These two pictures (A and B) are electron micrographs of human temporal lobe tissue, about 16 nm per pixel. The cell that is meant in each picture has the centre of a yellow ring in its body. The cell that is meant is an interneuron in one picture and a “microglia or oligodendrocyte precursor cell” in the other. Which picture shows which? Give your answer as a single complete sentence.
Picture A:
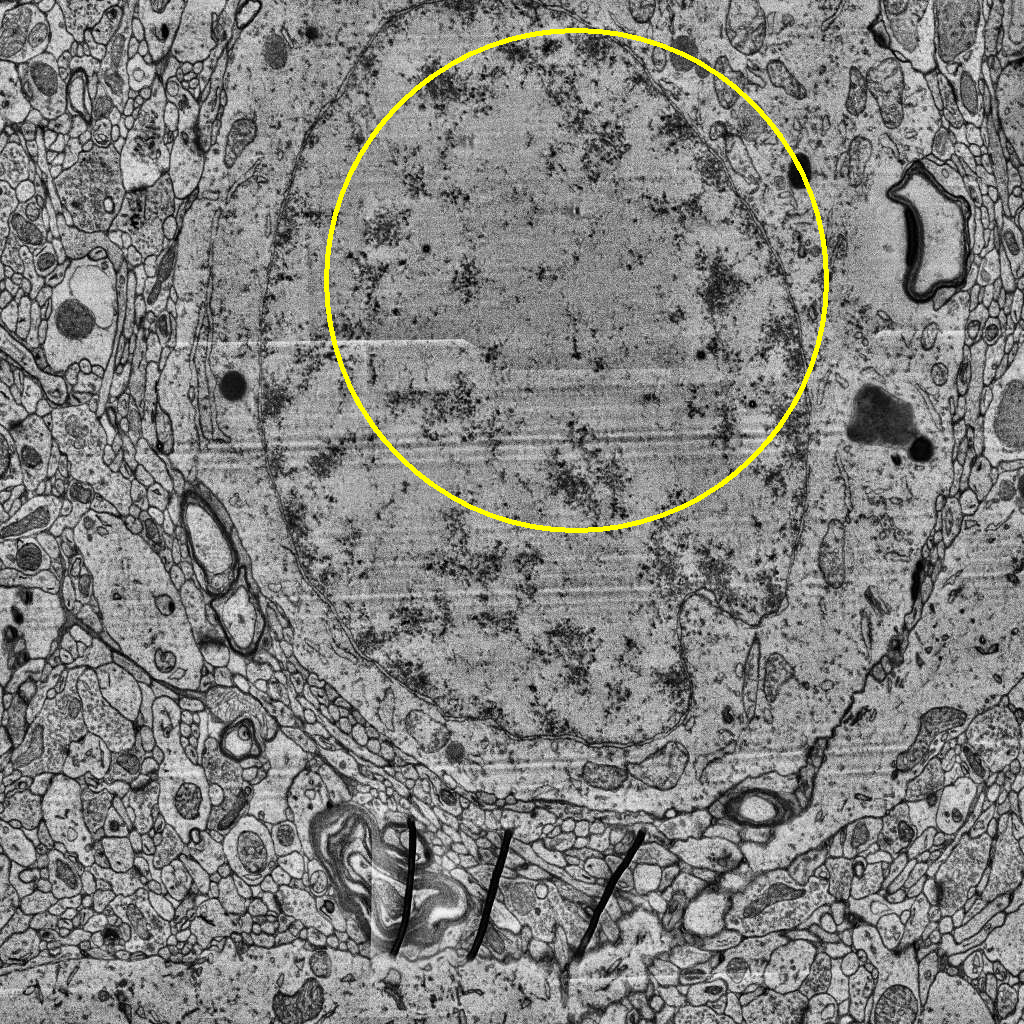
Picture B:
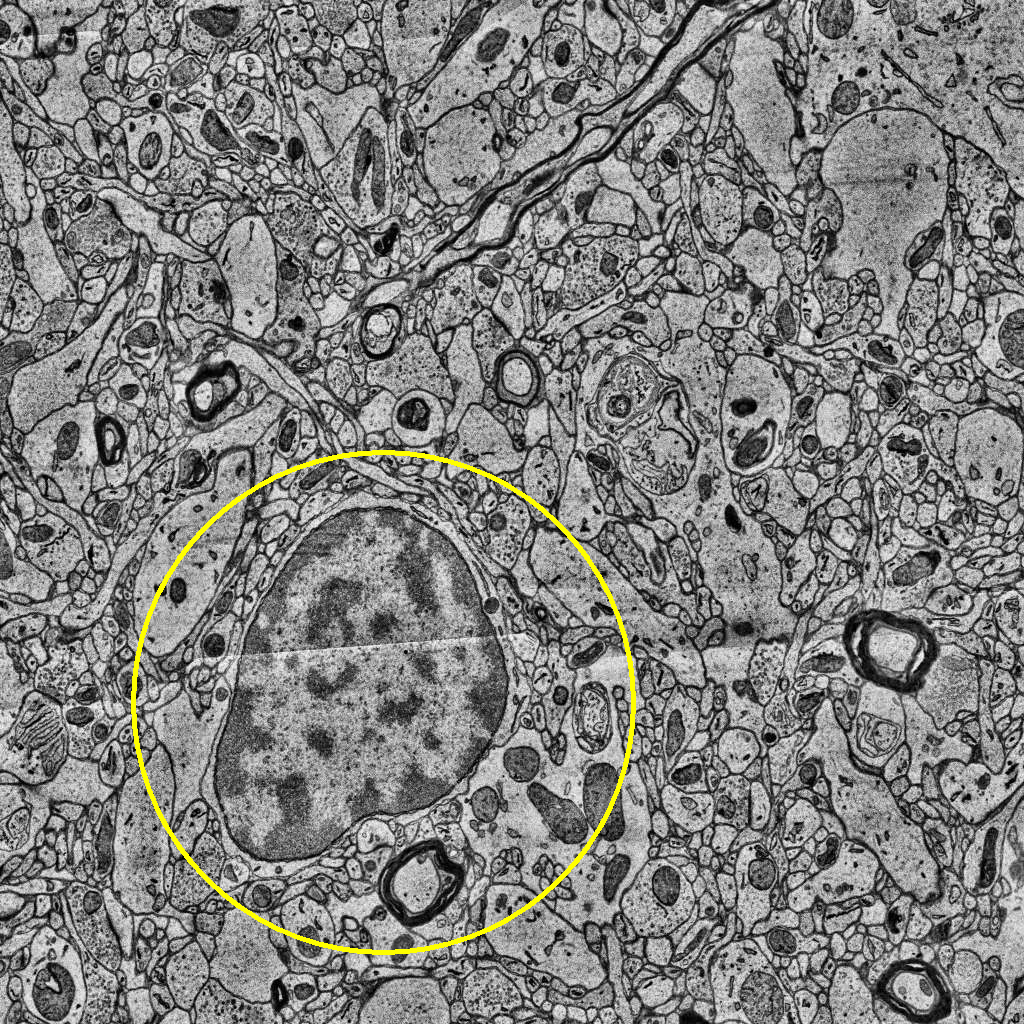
Picture A is of an interneuron, and picture B is of a “microglia or oligodendrocyte precursor cell”.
